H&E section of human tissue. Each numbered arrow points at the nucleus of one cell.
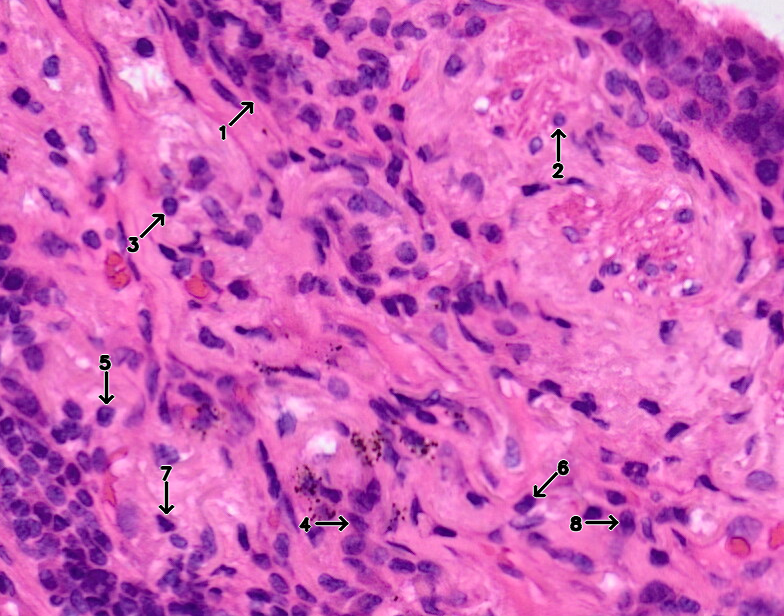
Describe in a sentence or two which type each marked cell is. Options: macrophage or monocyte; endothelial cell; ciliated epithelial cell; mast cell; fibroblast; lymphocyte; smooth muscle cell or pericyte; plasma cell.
Cell 1 is a plasma cell, cell 2 is a smooth muscle cell or pericyte, cell 3 is a lymphocyte, cell 4 is a plasma cell, cell 5 is a lymphocyte, cell 6 is a lymphocyte, cell 7 is a lymphocyte and cell 8 is a plasma cell.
